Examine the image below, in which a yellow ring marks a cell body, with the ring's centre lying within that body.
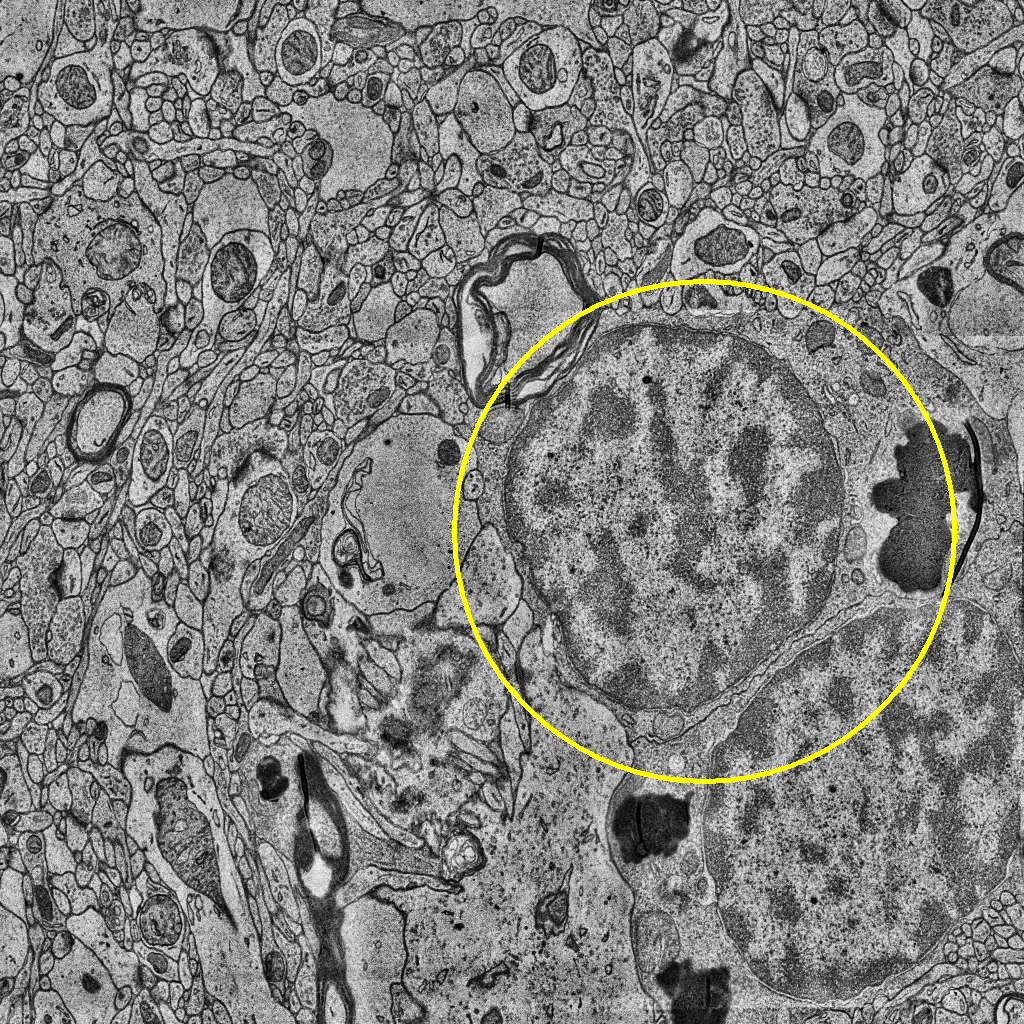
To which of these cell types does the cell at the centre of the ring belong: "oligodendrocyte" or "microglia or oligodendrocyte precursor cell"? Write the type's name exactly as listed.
oligodendrocyte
